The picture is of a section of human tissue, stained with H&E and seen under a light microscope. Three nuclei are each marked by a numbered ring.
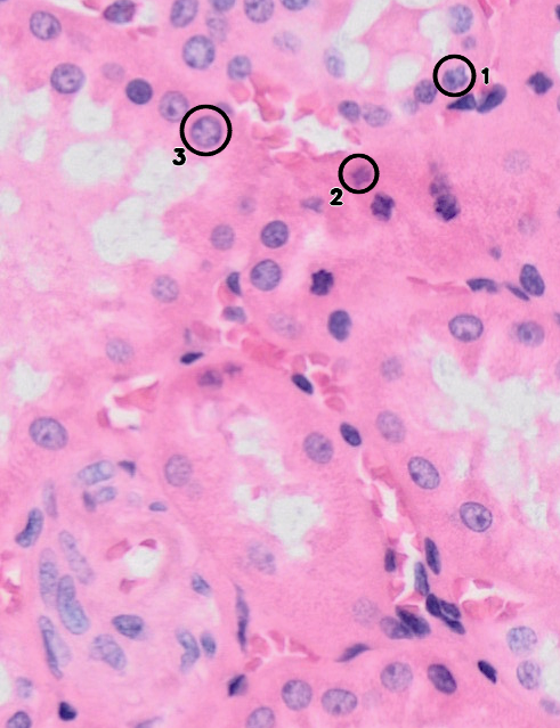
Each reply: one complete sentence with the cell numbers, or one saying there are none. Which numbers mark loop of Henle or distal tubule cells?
Numbered cell by numbered cell, the tally of loop of Henle or distal tubule cells stays at zero.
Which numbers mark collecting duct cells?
Among the labelled cells, only the cell labelled 1 is a collecting duct cell.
